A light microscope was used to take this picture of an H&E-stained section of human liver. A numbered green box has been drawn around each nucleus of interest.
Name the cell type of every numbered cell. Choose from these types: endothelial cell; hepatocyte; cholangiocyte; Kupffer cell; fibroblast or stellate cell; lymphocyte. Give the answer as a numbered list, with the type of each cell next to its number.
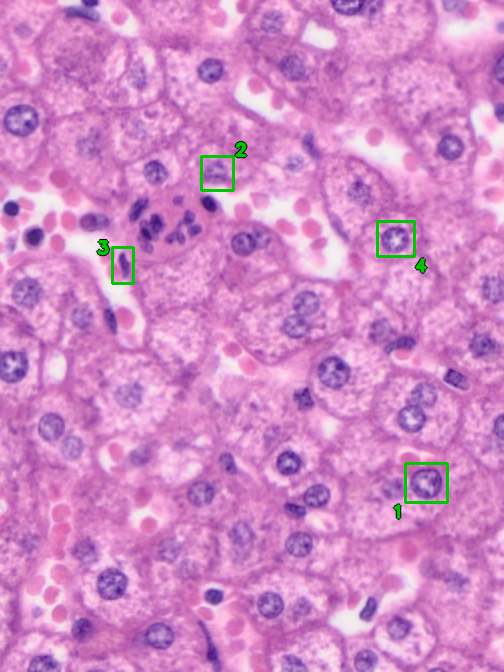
1. hepatocyte
2. hepatocyte
3. endothelial cell
4. hepatocyte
